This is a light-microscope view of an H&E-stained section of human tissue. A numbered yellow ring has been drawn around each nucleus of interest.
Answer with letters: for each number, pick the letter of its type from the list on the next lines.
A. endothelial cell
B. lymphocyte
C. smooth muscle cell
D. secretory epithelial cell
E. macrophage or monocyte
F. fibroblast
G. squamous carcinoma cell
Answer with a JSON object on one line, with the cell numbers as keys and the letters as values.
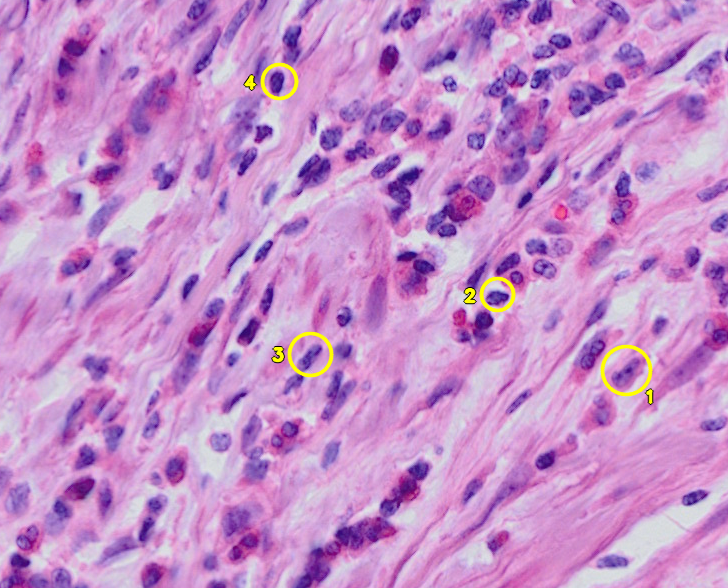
{"1": "E", "2": "B", "3": "B", "4": "B"}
